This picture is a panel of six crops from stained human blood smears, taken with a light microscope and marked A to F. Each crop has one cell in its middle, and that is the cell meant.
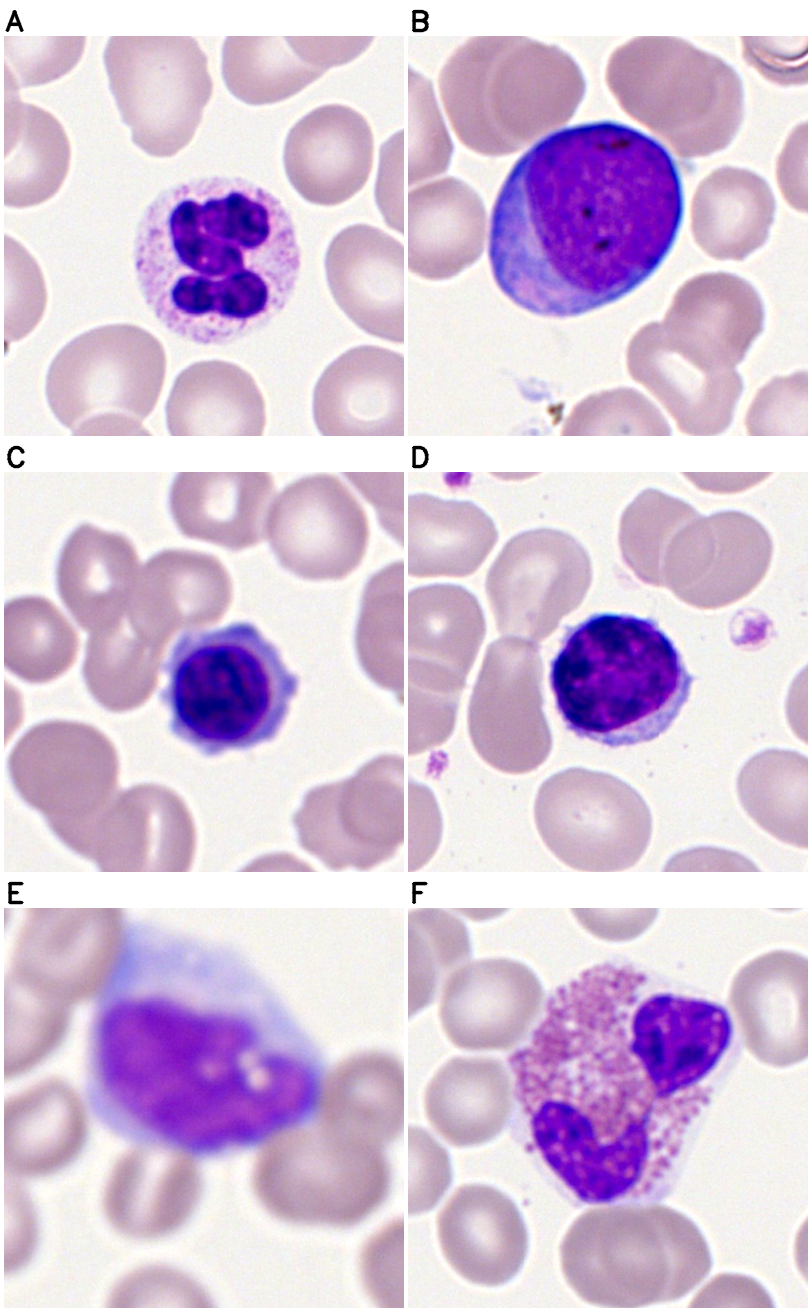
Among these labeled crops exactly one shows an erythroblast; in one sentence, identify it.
Crop C is the crop featuring an erythroblast at its center.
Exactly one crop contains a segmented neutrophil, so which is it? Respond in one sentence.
The one that shows a segmented neutrophil is crop A.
